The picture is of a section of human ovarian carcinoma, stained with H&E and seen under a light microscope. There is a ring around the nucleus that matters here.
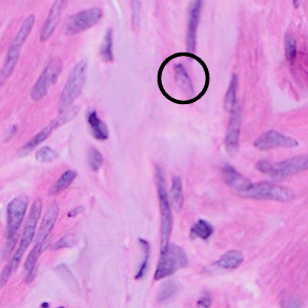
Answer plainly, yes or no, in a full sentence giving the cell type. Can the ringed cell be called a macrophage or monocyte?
No, mark the ringed cell as a smooth muscle cell, not as a macrophage or monocyte.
